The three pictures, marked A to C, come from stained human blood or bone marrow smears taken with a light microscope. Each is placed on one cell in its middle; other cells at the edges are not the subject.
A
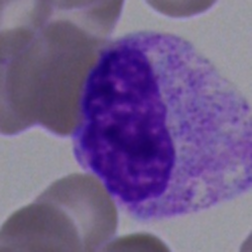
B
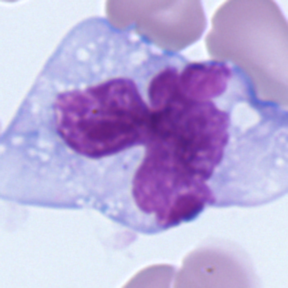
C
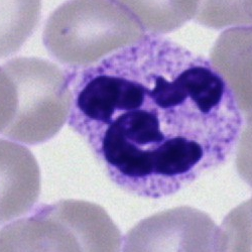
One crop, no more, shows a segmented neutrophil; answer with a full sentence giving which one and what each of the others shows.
In crop C the cell is a segmented neutrophil, whereas crop A is a myelocyte and crop B is a monocyte.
